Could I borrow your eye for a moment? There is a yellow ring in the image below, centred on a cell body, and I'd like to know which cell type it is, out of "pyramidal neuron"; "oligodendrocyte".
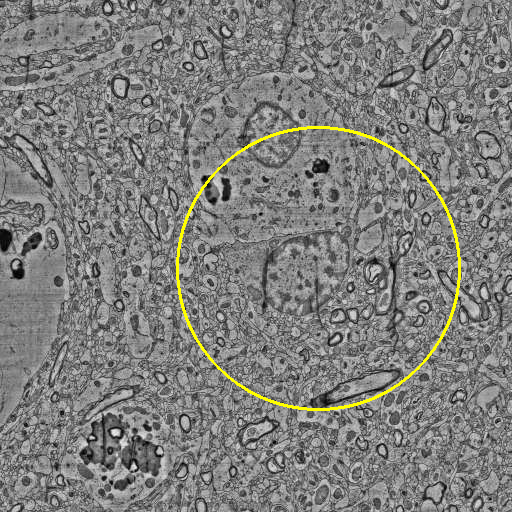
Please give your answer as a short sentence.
The cell body at the centre is that of an oligodendrocyte.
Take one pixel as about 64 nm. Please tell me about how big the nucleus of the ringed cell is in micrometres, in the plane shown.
The nucleus appears roughly 6 by 5 micrometres in this plane.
